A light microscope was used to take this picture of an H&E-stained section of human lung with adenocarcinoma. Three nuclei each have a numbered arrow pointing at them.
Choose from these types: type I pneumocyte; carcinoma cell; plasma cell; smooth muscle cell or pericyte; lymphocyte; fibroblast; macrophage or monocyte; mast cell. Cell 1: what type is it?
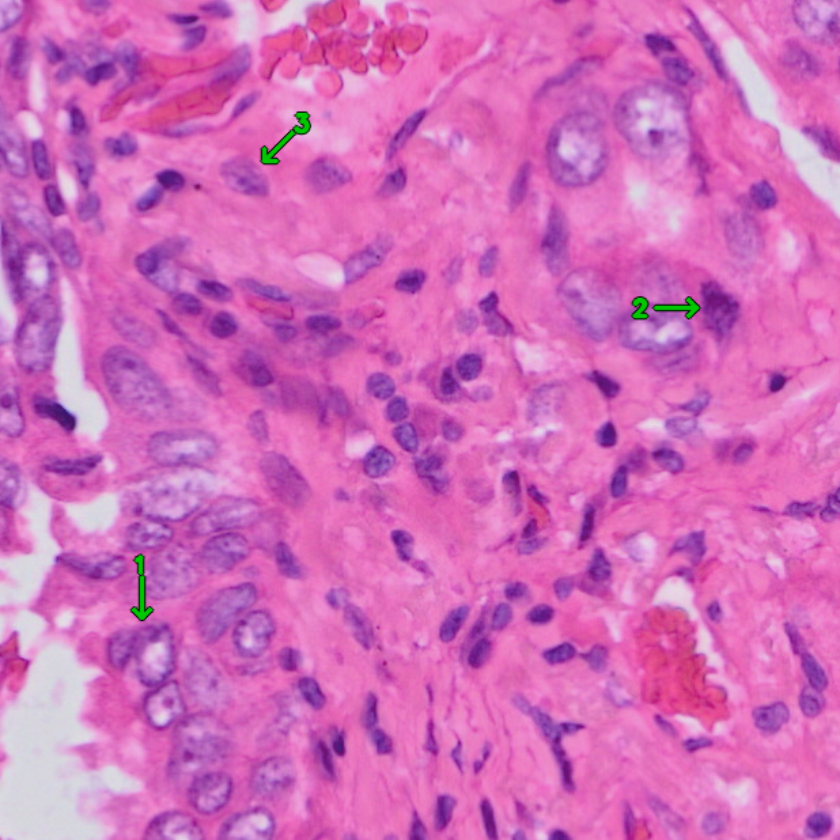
carcinoma cell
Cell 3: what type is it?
fibroblast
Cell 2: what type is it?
carcinoma cell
